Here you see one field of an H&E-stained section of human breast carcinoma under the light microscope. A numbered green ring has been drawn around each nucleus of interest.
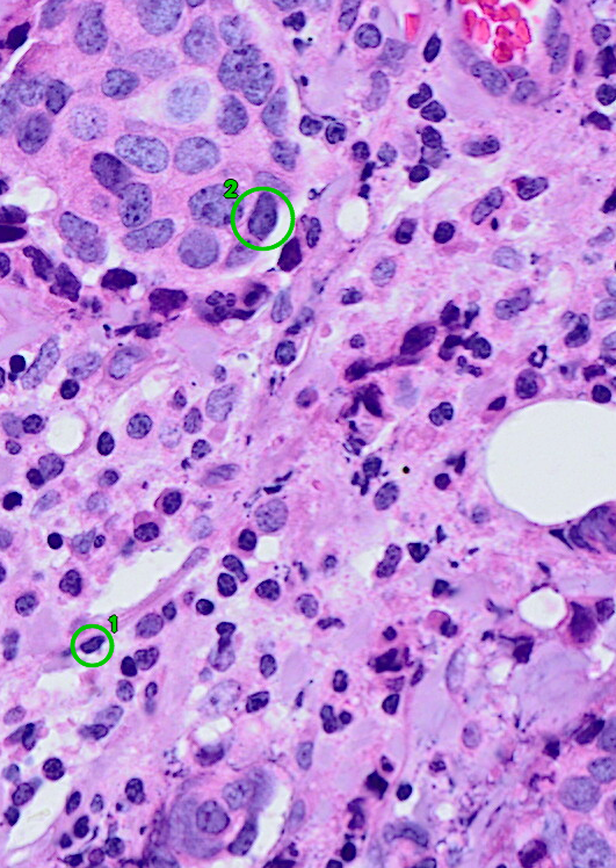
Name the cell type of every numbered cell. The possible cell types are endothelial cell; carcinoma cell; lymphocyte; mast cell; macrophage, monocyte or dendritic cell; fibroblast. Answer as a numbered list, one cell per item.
1. lymphocyte
2. carcinoma cell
